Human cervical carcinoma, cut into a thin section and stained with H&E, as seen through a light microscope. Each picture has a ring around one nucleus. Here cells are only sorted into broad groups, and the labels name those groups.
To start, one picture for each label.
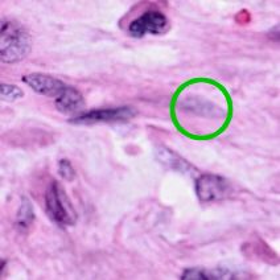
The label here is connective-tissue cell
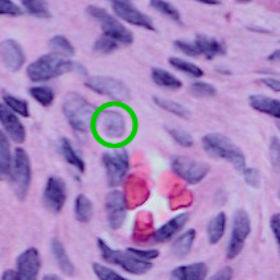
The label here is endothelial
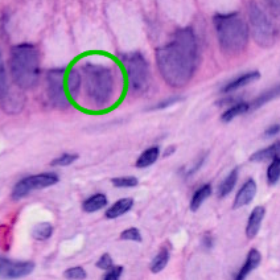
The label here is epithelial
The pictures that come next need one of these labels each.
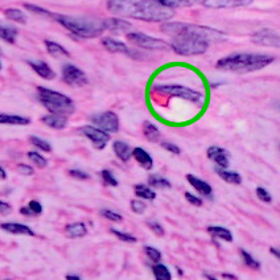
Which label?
endothelial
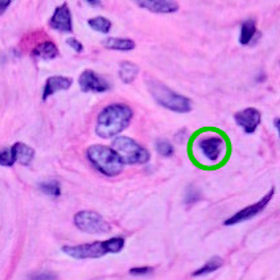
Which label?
connective-tissue cell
